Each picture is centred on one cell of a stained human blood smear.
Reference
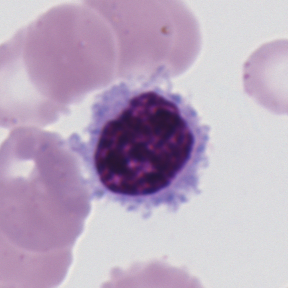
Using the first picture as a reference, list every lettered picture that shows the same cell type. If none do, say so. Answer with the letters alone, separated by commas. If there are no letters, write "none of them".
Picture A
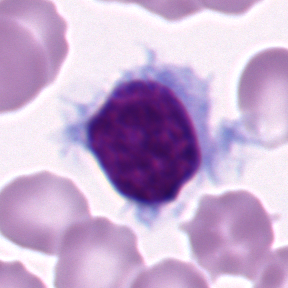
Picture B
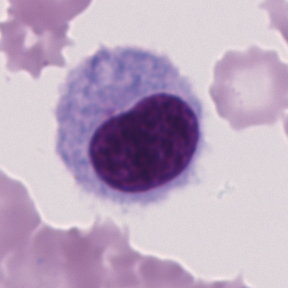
A, B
